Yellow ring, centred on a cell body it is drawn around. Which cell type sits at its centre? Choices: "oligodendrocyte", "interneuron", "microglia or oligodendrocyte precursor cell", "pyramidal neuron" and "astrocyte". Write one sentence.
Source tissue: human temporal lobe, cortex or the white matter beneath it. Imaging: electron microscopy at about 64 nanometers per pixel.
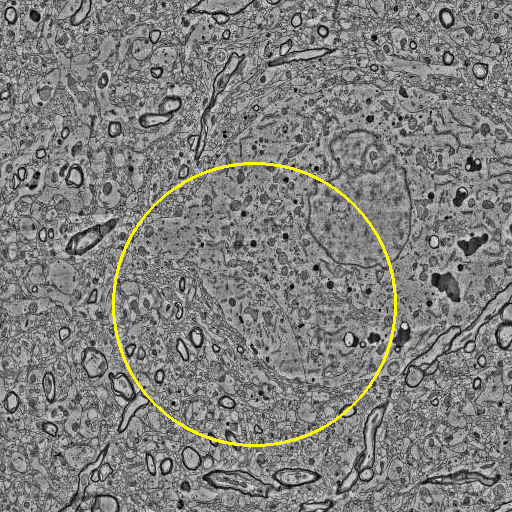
At the centre of the ring sits a microglial cell or oligodendrocyte precursor cell.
